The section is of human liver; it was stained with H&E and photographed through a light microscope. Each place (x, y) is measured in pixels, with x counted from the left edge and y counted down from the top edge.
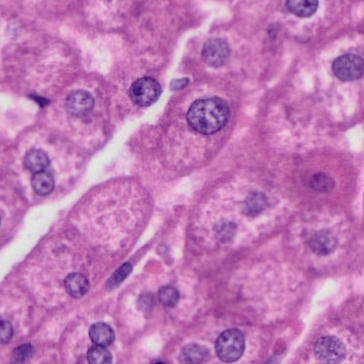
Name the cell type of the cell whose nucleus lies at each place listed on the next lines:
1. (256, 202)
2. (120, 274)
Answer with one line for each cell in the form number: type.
1: hepatocyte
2: Kupffer cell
